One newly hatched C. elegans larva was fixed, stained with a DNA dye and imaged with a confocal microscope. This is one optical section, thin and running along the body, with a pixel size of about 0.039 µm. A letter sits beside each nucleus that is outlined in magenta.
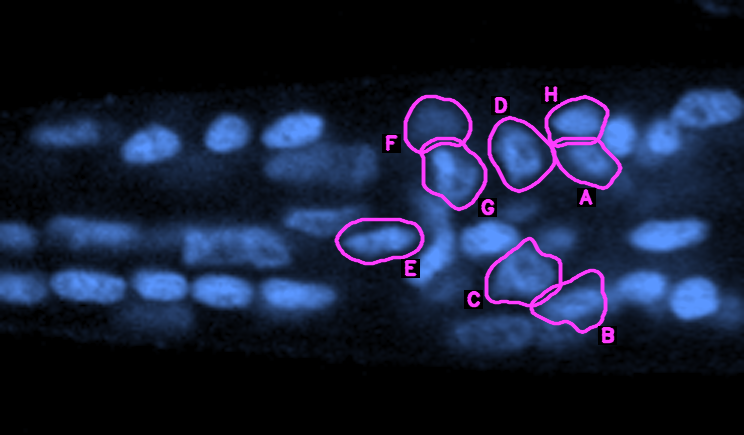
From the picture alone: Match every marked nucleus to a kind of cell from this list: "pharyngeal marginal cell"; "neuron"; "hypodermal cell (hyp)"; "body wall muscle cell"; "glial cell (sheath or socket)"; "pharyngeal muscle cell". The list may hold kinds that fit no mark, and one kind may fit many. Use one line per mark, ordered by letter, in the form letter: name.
A: glial cell (sheath or socket)
B: neuron
C: pharyngeal muscle cell
D: pharyngeal muscle cell
E: neuron
F: body wall muscle cell
G: pharyngeal marginal cell
H: neuron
